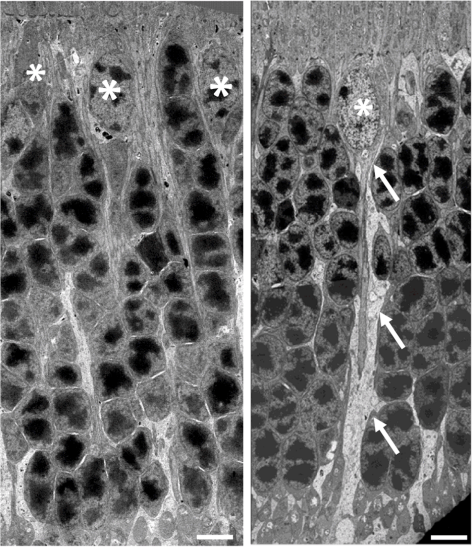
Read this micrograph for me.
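Two electron micrographs of the outer nuclear layer of the retina show tightly packed photoreceptor cell bodies. Most nuclei have dark, clumped chromatin, while a few nuclei near the top of the layer are paler, with dispersed chromatin. In the right image, a pale, markedly widened fiber descends from one of these pale-nucleated cell bodies, squeezing between the dark nuclei below it.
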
